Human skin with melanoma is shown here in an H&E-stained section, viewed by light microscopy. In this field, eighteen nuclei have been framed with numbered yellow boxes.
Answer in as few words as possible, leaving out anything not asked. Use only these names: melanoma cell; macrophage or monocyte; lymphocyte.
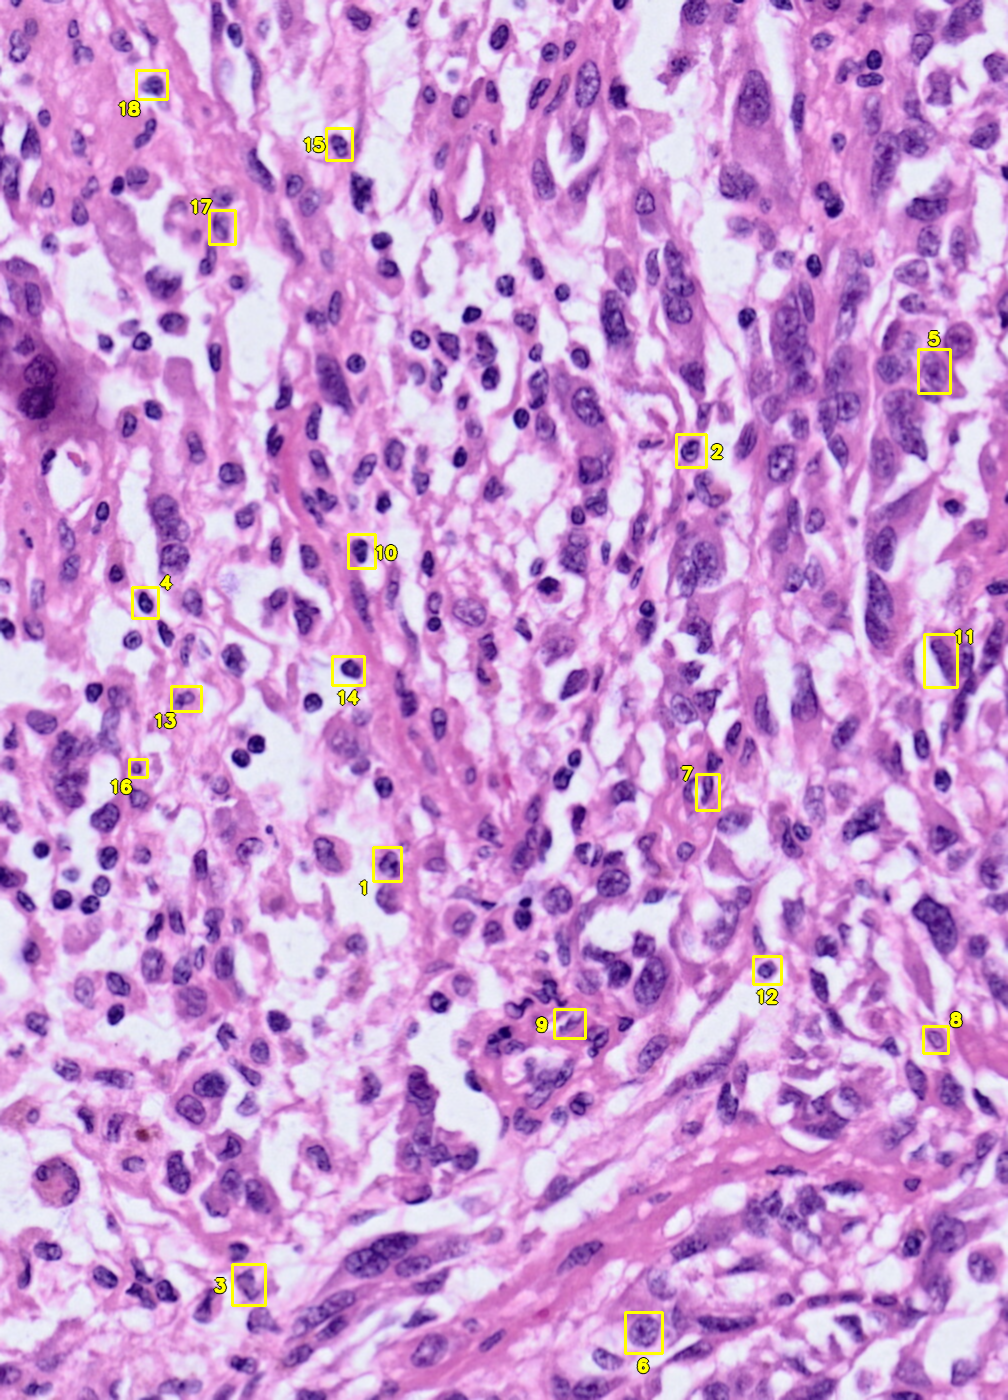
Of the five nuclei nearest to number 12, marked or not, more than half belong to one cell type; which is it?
melanoma cell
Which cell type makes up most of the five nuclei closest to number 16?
macrophage or monocyte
